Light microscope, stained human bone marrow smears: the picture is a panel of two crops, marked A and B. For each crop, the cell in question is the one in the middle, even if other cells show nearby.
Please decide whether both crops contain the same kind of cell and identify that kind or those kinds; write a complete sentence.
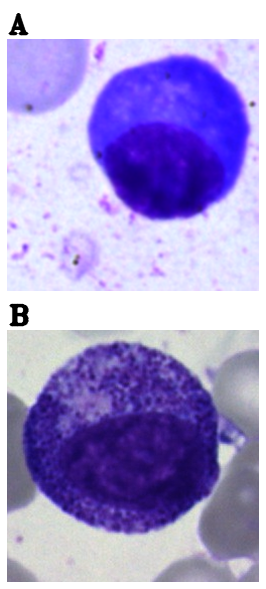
No, as for crop A, it shows a plasma cell, and crop B shows a promyelocyte.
